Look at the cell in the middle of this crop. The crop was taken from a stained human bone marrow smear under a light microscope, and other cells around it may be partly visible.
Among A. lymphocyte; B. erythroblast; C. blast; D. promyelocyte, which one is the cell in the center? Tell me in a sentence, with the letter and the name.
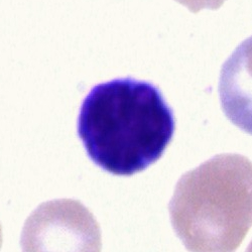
Answer key: option A, the middle cell being a lymphocyte.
